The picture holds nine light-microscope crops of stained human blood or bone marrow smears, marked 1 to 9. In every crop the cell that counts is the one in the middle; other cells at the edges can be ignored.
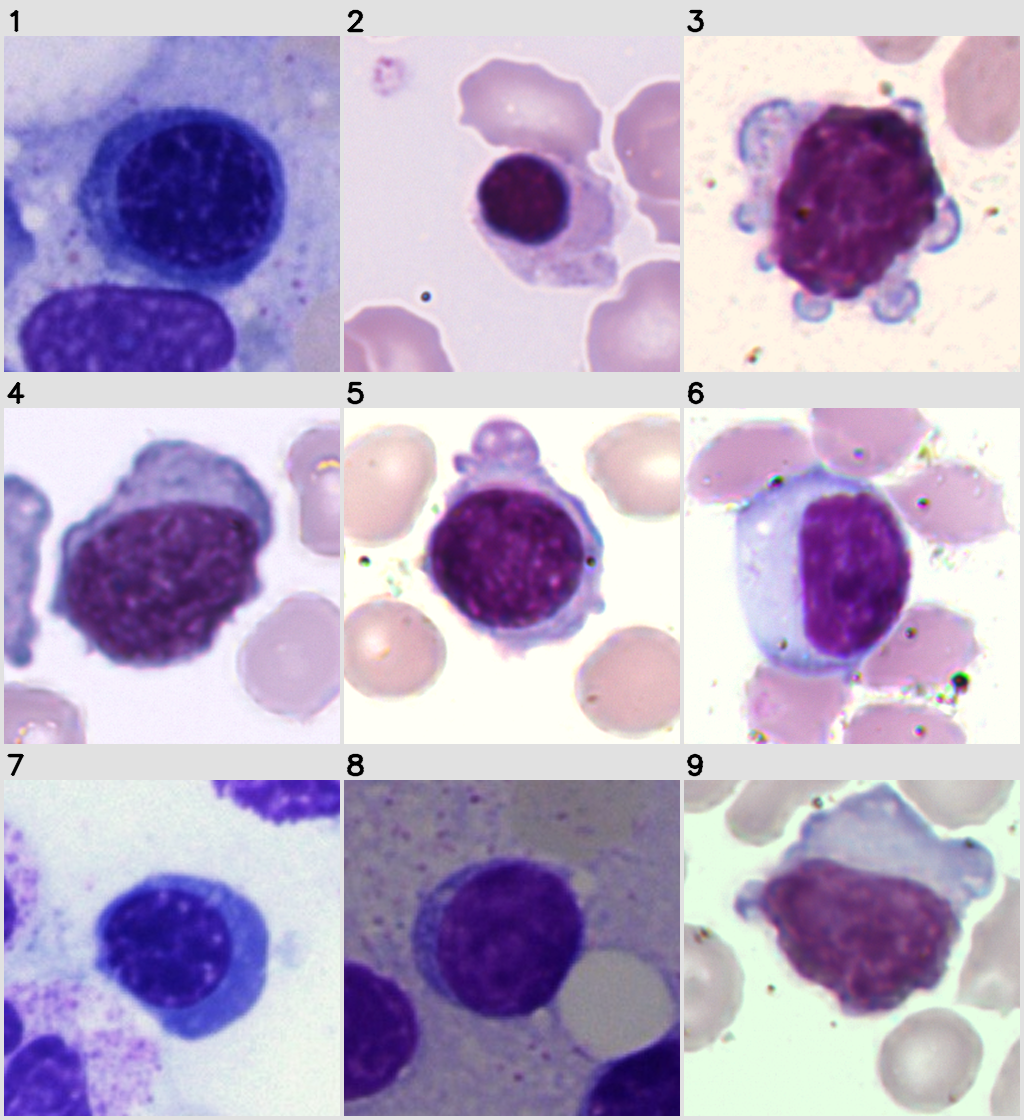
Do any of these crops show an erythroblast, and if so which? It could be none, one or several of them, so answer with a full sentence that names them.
Crops 1, 2 and 7 feature erythroblasts as the cells at their centres.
